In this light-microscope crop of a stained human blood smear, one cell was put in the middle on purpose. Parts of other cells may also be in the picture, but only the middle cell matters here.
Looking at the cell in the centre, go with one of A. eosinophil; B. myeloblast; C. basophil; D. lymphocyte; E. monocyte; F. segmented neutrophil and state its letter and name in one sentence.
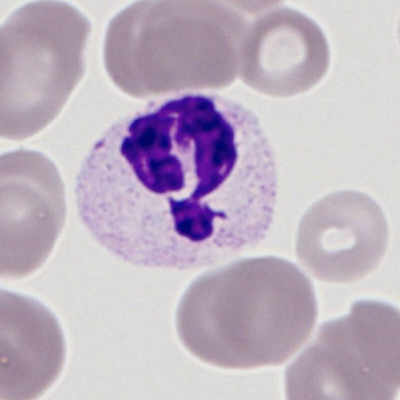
The cell in the middle is a segmented neutrophil, and so option F is correct.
